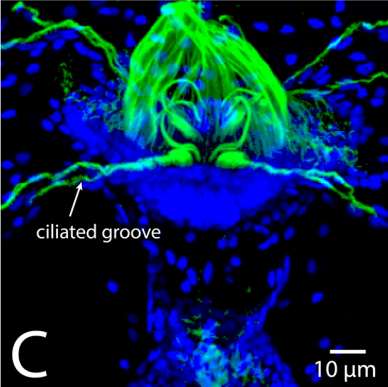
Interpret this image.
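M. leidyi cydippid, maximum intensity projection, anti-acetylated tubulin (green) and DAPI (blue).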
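A small sense organ seen at high magnification: above a dense floor of blue-stained nuclei rises a cluster of long green ciliary bundles, curving and looping into tufts that converge at the top. Each tuft arises from a small knob at its base. Thin green beaded tracts run outward to either side along the floor and join the bases of the tufts. Below, a narrower stalk of scattered nuclei descends, and many oval nuclei are spread through the surrounding tissue.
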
